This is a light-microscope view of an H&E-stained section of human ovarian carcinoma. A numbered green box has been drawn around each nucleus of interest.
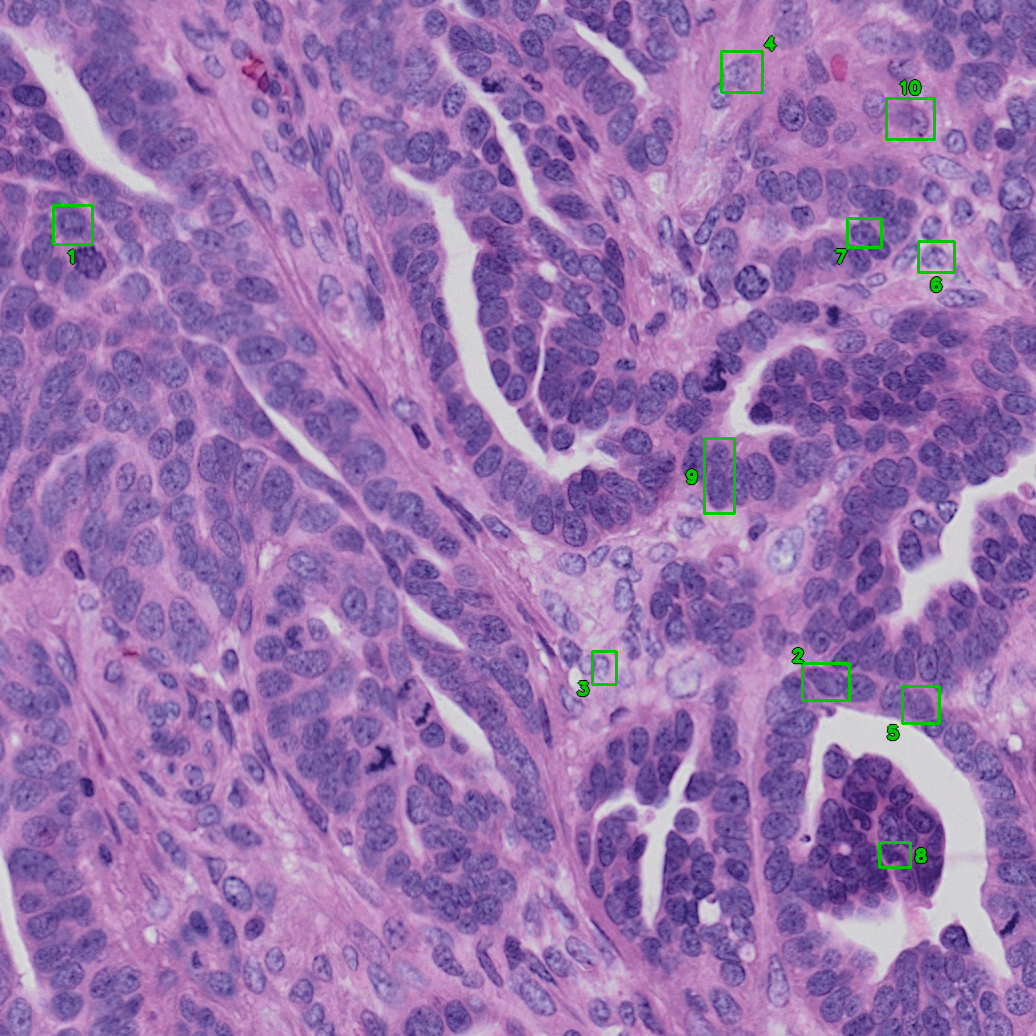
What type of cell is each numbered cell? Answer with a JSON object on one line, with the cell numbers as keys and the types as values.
{"1": "carcinoma cell", "2": "carcinoma cell", "3": "fibroblast", "4": "fibroblast", "5": "carcinoma cell", "6": "fibroblast", "7": "carcinoma cell", "8": "carcinoma cell", "9": "carcinoma cell", "10": "fibroblast"}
